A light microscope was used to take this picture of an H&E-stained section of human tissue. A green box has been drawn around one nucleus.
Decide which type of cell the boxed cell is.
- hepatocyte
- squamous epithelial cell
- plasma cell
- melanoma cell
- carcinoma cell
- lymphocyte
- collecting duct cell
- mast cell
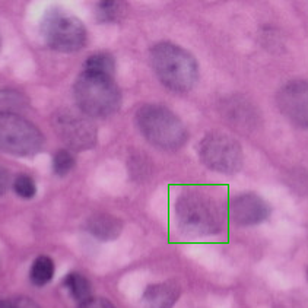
squamous epithelial cell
